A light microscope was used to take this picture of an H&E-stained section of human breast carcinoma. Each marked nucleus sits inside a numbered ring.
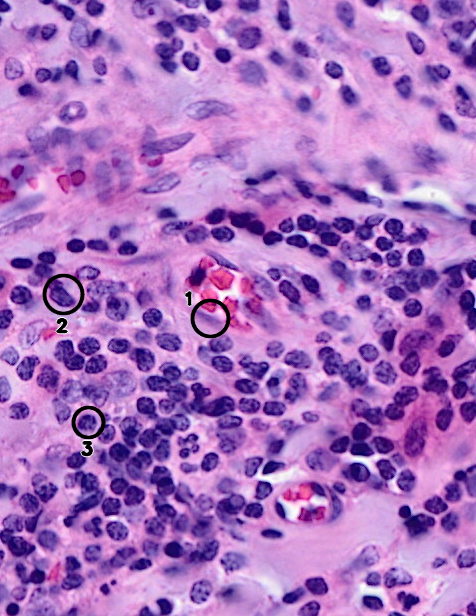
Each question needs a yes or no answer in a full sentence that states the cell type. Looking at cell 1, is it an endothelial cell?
Yes, what number 1 marks is an endothelial cell.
